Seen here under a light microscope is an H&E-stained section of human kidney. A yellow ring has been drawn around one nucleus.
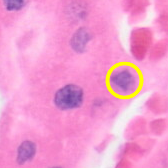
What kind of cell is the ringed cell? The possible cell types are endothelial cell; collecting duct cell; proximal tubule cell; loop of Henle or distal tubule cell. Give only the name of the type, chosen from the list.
proximal tubule cell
